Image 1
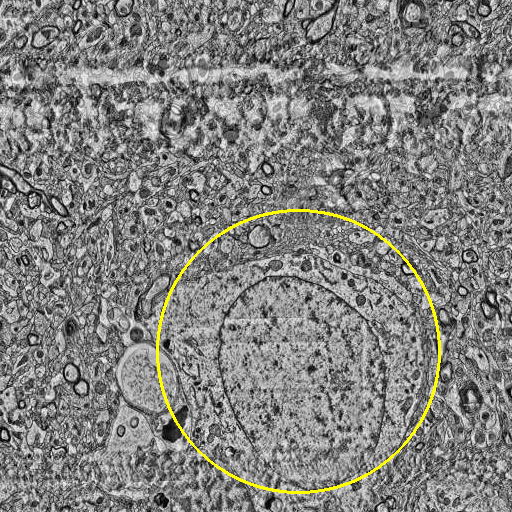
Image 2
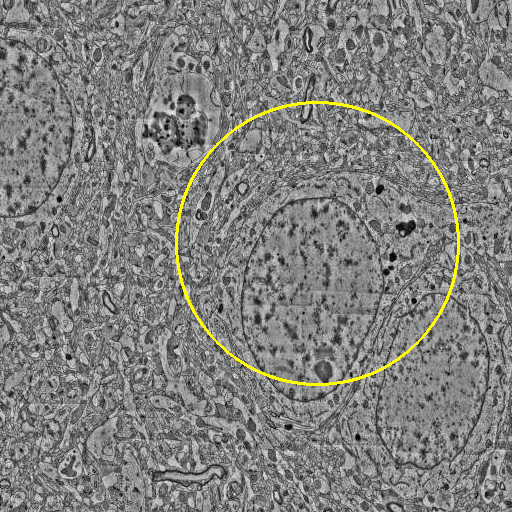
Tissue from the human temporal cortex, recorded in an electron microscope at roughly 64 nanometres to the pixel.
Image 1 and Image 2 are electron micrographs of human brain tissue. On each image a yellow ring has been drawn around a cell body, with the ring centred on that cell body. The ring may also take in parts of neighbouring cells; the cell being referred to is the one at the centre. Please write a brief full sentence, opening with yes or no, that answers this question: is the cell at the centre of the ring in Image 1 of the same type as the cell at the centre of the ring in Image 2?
Yes, both cells are of the same type.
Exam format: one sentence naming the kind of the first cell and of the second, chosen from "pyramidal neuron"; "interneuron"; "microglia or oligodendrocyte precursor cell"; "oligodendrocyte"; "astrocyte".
The second cell is a pyramidal neuron, just as the first is.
